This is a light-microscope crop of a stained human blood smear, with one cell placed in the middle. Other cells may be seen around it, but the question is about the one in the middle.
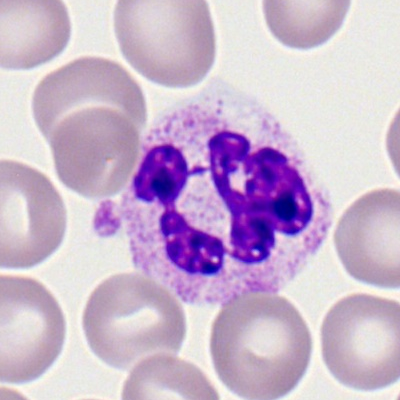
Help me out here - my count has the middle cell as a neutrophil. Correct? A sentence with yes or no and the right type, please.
Yes, that middle cell in the crop is a neutrophil.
